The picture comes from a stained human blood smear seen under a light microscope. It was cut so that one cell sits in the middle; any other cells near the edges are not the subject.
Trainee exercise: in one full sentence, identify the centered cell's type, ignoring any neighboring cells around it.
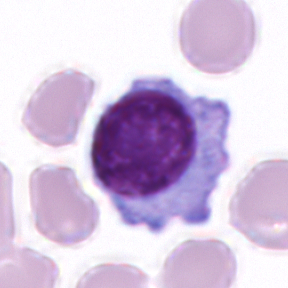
The centered cell in this crop is a plasma cell.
